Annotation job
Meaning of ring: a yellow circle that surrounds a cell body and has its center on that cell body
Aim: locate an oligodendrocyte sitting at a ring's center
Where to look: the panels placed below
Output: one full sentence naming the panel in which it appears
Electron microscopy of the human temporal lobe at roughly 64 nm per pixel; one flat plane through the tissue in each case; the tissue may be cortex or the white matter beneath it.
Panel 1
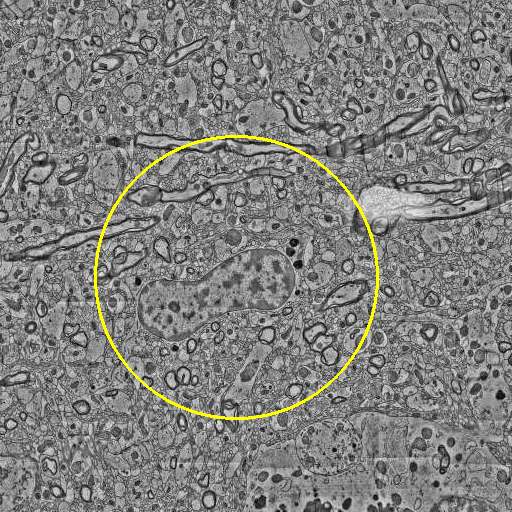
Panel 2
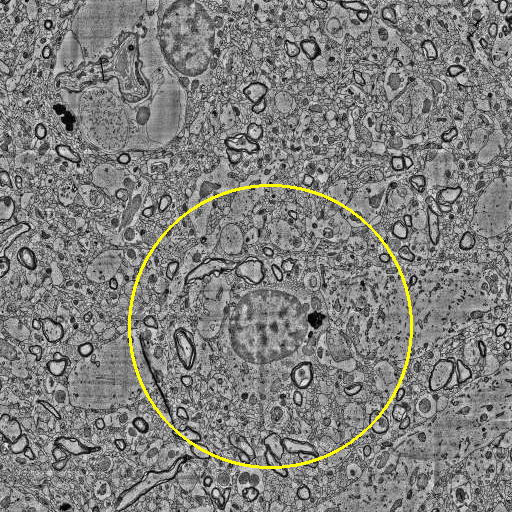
The cell at the center of the ring in panel 2 is the one sought.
